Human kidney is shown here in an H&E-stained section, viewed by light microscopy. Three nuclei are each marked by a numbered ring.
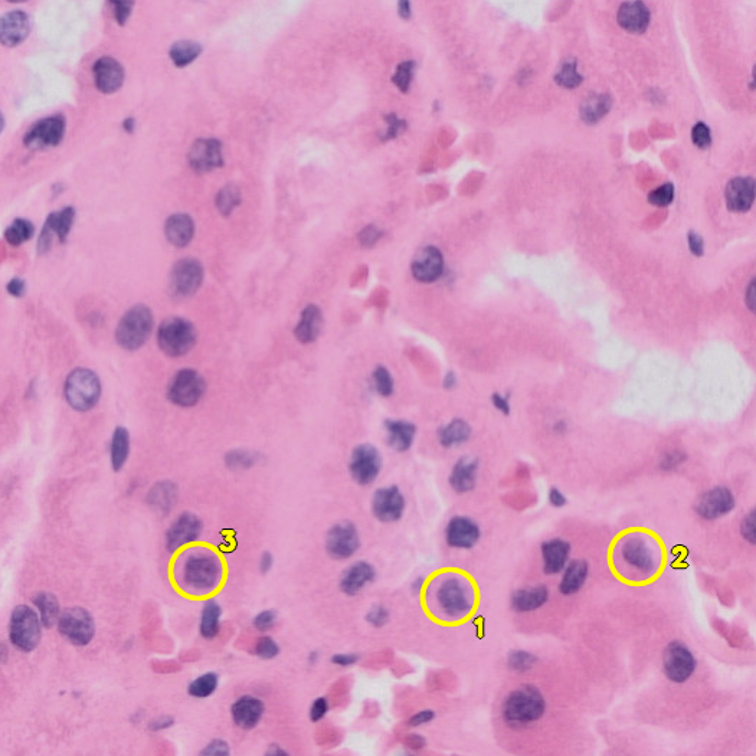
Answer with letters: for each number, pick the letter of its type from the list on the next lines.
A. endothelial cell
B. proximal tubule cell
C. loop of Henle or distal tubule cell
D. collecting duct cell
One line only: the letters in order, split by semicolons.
C; B; B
